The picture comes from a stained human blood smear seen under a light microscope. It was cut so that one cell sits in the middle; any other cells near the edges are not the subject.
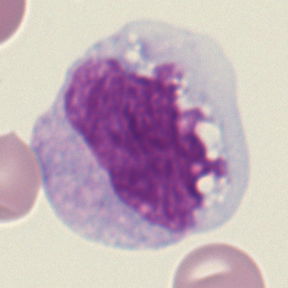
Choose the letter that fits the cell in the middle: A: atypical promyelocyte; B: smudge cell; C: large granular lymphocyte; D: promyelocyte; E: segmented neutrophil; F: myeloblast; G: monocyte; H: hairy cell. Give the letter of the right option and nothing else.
G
